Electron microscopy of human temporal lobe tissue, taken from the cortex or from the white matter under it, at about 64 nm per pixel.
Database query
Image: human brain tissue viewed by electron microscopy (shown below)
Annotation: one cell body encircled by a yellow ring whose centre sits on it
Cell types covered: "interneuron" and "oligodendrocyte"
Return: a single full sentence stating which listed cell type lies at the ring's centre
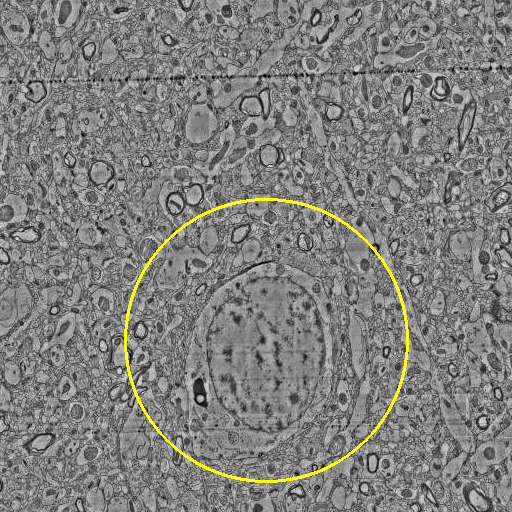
In the image, the cell lying at the ring's centre is an interneuron.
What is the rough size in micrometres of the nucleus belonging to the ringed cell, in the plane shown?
Approximately 10 micrometres long and 8 micrometres wide, in this plane.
